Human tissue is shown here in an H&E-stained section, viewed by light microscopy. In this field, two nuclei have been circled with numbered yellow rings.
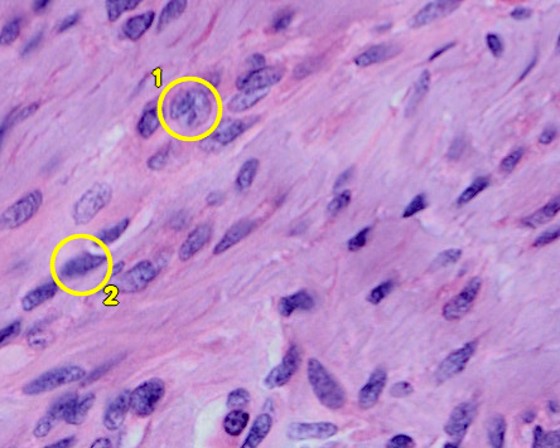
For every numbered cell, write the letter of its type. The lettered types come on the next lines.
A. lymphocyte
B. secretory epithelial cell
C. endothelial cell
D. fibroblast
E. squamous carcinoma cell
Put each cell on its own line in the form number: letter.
1: C
2: D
